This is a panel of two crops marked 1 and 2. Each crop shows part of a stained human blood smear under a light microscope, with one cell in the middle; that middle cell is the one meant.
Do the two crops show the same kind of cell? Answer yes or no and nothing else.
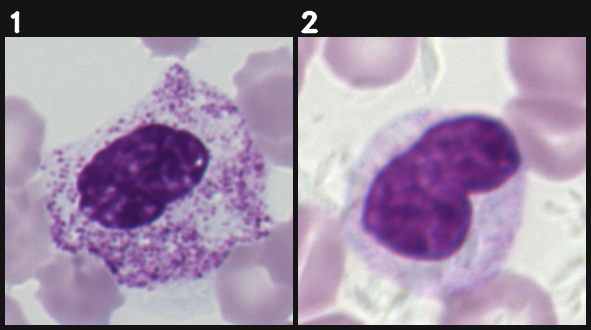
yes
